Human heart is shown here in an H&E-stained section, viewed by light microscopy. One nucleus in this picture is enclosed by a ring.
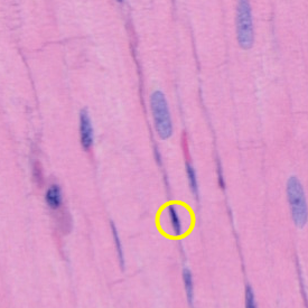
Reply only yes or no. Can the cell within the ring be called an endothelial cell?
yes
